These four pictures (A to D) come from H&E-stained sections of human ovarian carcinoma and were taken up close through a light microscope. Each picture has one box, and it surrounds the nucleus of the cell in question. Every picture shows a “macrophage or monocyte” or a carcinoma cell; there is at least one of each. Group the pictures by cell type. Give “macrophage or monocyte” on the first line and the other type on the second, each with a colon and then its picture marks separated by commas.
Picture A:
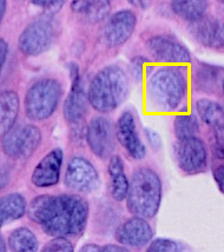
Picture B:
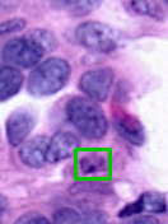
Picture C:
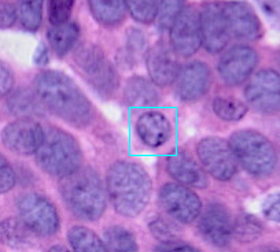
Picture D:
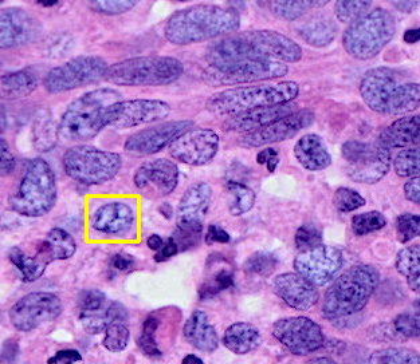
macrophage or monocyte: B, C, D
carcinoma cell: A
